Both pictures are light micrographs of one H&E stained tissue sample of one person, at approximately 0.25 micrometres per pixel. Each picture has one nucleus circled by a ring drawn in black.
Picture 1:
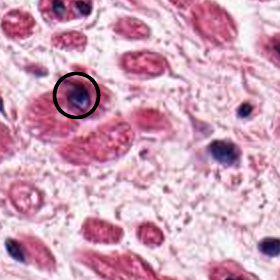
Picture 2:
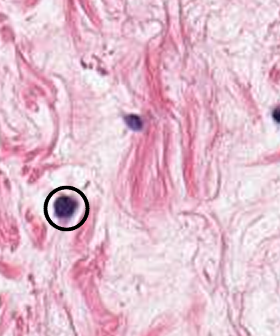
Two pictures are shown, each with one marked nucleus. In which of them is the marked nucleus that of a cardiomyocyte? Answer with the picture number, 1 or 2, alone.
1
